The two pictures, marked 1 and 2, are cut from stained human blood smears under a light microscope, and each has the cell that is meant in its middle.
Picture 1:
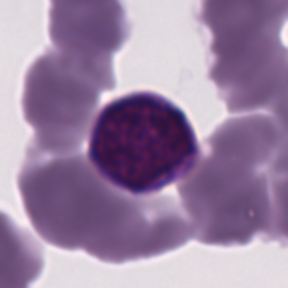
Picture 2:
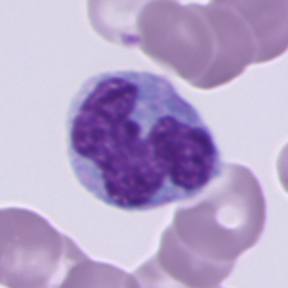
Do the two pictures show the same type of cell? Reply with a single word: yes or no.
no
